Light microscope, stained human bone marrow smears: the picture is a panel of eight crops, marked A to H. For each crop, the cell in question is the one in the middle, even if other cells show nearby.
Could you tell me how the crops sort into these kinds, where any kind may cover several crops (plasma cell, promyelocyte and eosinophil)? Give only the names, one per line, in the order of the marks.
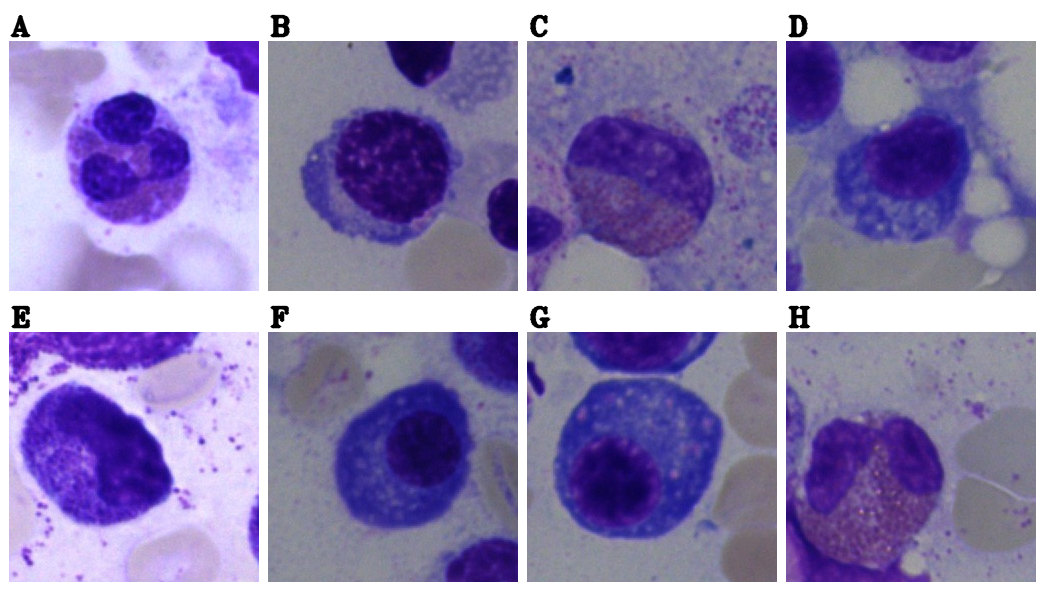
eosinophil
plasma cell
eosinophil
plasma cell
promyelocyte
plasma cell
plasma cell
eosinophil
